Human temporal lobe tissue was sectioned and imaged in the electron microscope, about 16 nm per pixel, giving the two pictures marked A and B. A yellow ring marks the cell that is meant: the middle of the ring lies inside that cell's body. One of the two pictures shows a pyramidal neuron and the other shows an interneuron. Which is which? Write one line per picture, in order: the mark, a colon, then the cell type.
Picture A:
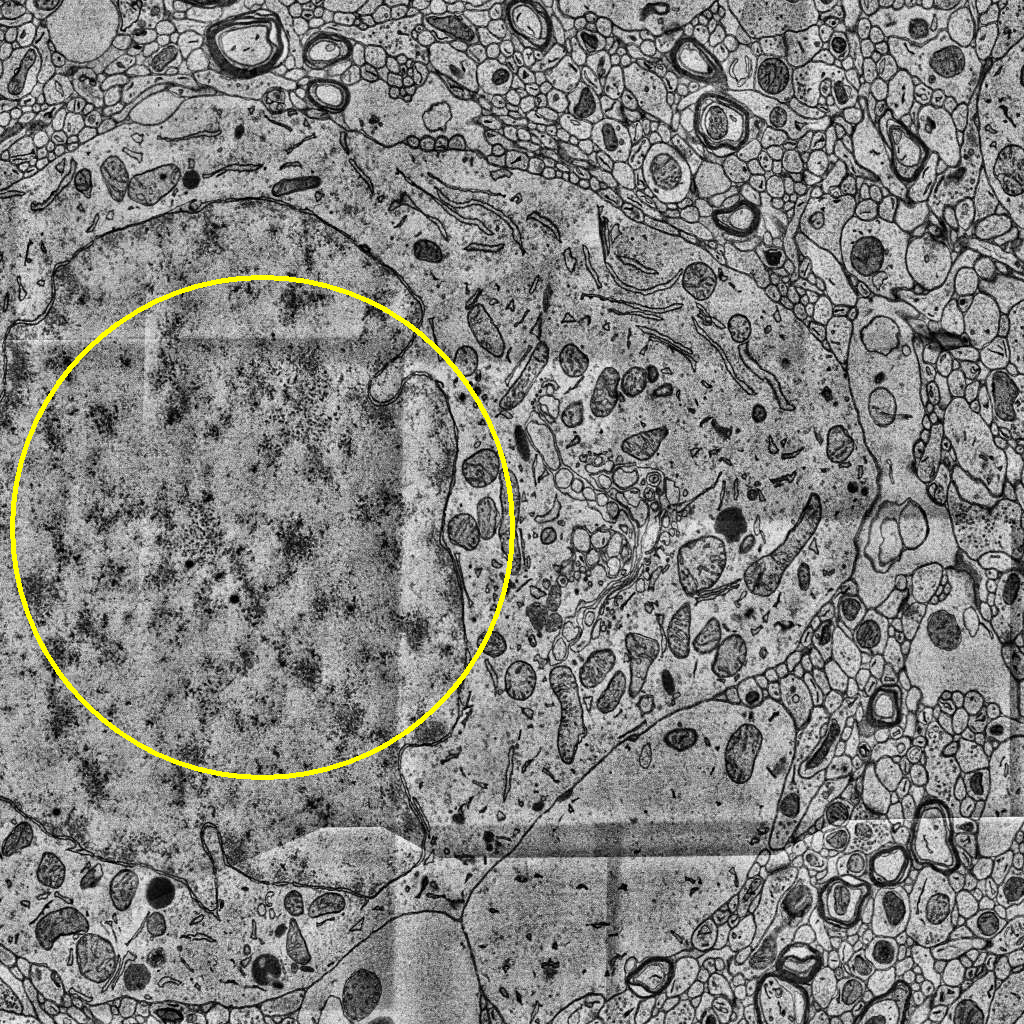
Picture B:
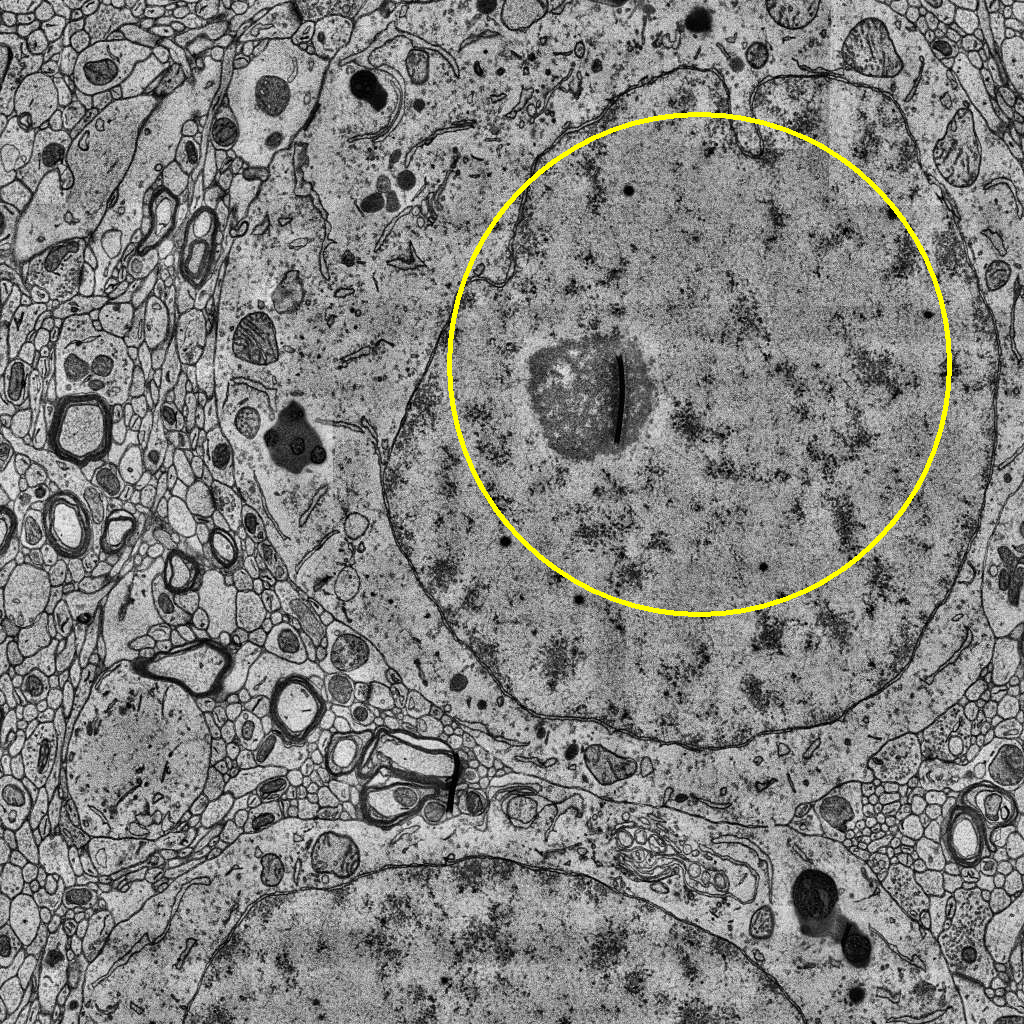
A: interneuron
B: pyramidal neuron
